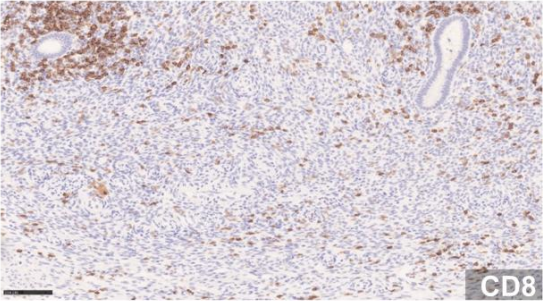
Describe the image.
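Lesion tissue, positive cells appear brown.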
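The stroma is dense, made of many small spindle-shaped cells with oval blue nuclei that run in loose streams. A small round gland at upper left and an elongated gland at right are each lined by a single layer of epithelial cells around an open lumen. The brown cells are small and rounded. They gather most thickly at the upper left around the small gland, and more sparsely along the top and through the rest of the stroma.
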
